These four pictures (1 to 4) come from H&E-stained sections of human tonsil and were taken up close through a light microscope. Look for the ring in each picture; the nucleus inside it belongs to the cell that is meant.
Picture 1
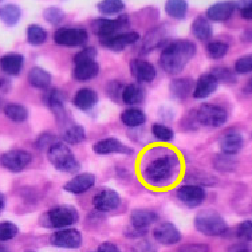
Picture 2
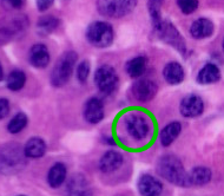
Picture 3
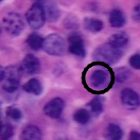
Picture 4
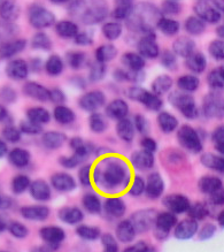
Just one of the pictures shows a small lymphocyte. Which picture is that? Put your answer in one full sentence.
Picture 4 is the one that shows the small lymphocyte.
